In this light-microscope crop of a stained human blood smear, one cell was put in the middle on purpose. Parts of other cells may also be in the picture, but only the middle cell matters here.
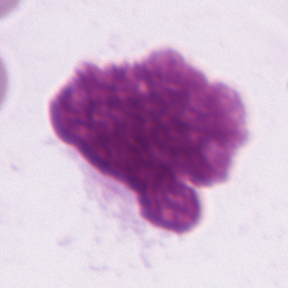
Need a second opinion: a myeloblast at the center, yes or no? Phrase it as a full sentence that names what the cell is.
No, what lies at the heart of the crop is a smudge cell, not a myeloblast.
